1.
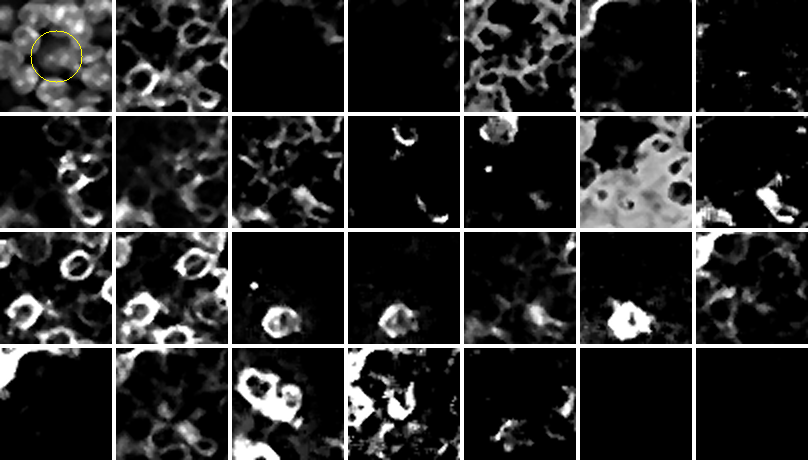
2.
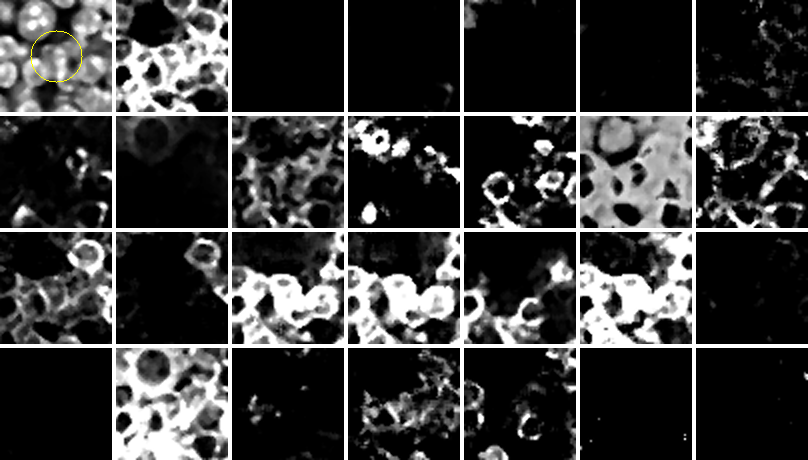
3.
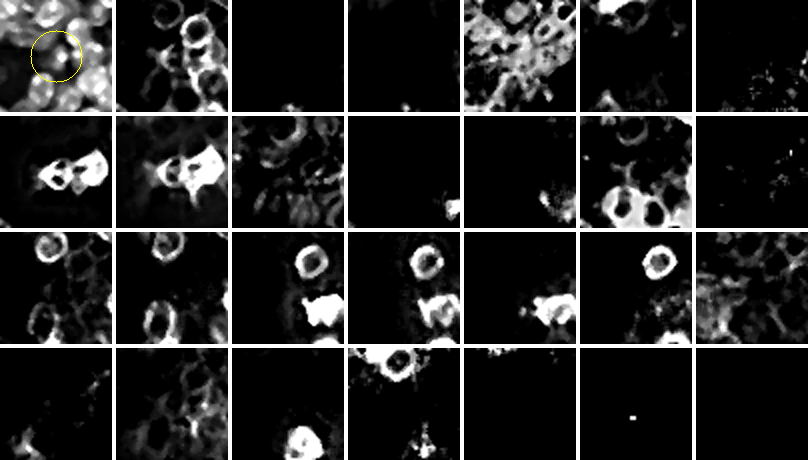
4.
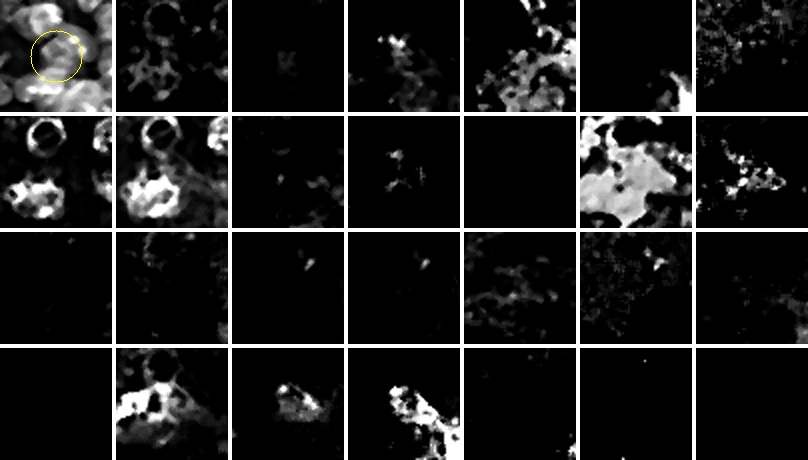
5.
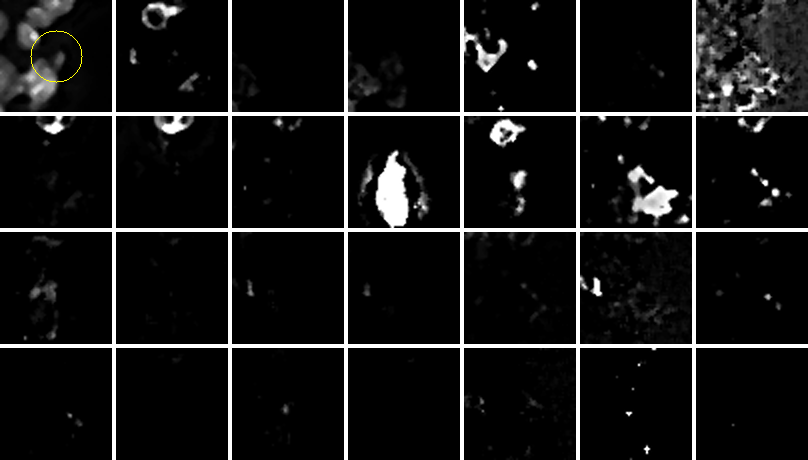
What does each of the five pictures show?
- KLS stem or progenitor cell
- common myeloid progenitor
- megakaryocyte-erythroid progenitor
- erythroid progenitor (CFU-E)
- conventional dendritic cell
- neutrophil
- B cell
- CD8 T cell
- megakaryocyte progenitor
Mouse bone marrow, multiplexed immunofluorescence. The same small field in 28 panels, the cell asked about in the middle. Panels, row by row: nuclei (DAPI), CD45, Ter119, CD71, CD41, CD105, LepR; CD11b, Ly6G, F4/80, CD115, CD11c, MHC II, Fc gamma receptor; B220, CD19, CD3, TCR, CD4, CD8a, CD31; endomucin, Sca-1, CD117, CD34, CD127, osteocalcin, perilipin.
1. megakaryocyte progenitor
2. CD8 T cell
3. neutrophil
4. erythroid progenitor (CFU-E)
5. conventional dendritic cell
